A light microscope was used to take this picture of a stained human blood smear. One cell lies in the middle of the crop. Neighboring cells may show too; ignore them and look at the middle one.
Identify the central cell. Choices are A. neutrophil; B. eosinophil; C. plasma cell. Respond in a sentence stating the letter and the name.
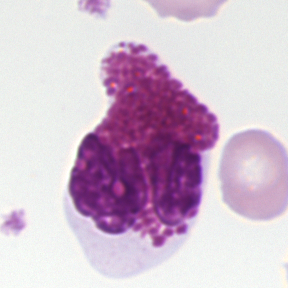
The middle of the crop holds an eosinophil, which points to option B.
